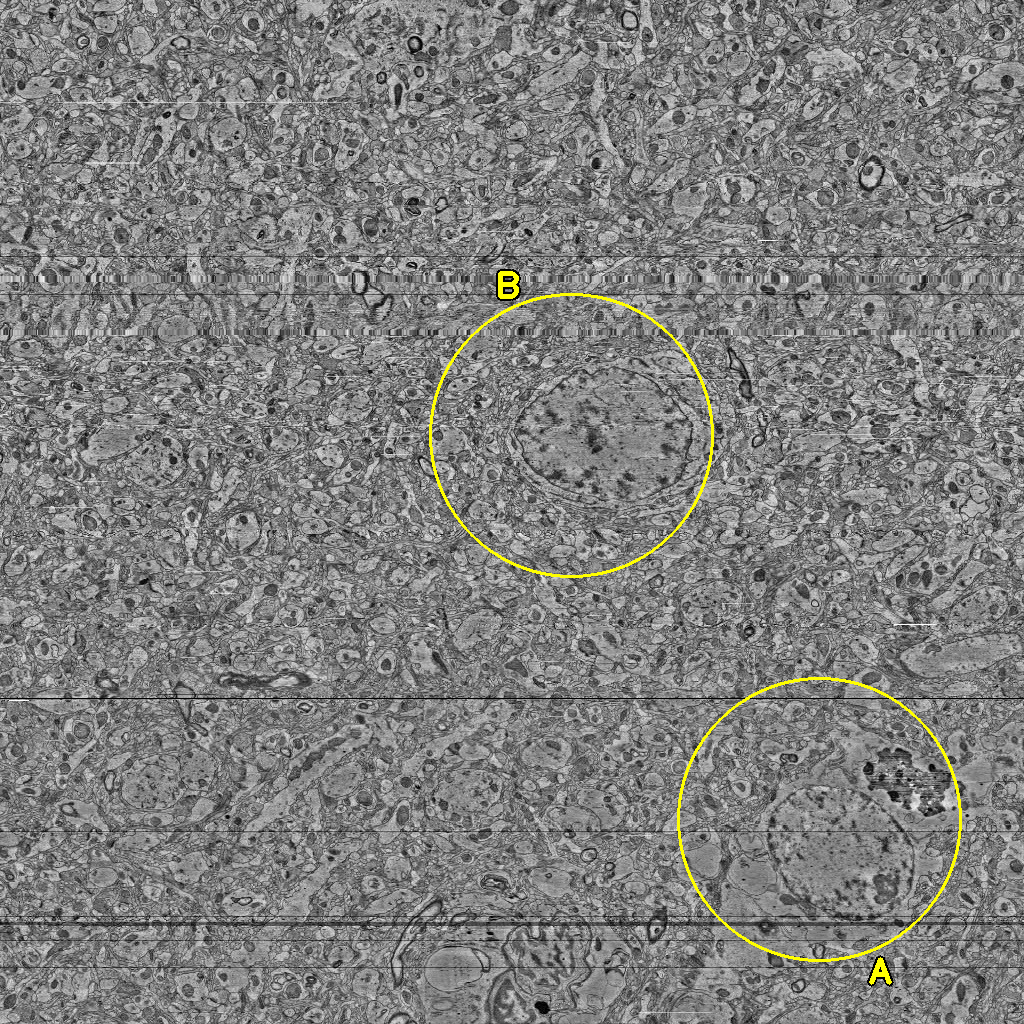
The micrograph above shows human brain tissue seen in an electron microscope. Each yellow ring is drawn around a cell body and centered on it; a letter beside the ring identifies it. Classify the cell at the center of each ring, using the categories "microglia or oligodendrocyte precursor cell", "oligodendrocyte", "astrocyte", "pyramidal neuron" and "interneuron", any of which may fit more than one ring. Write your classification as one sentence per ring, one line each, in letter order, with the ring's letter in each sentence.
Ring A is centered on an astrocyte.
Ring B is centered on a pyramidal neuron.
